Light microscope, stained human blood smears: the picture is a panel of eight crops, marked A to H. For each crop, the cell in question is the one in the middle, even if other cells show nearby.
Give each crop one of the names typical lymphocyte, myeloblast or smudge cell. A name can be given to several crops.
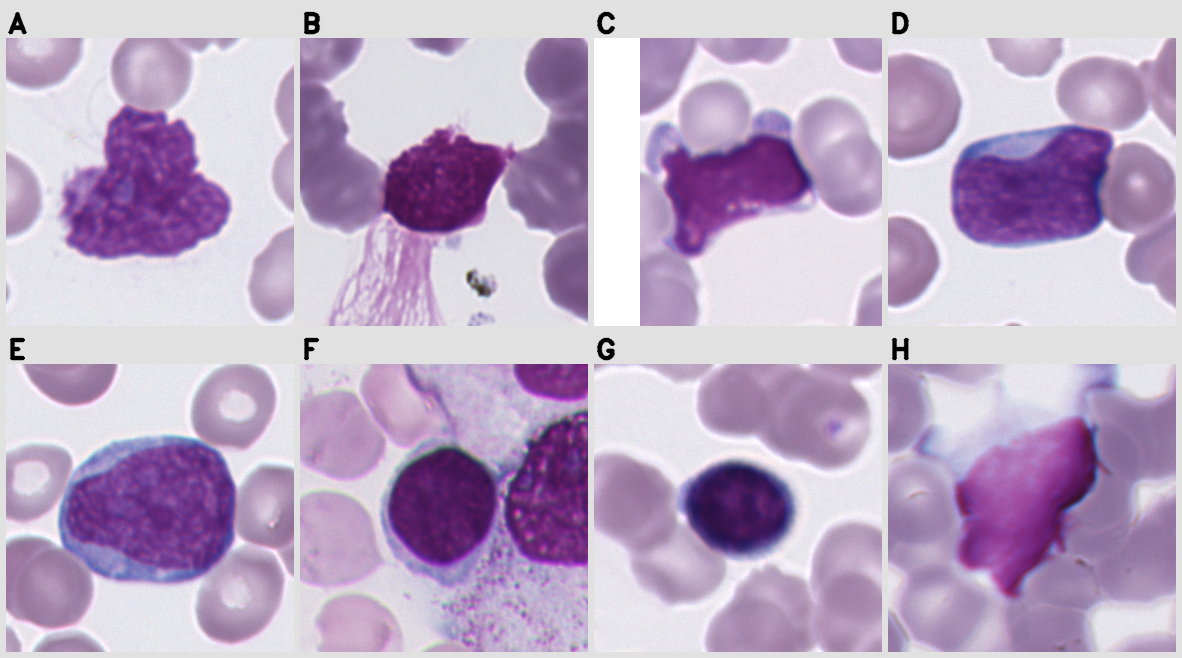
A: smudge cell
B: smudge cell
C: typical lymphocyte
D: myeloblast
E: myeloblast
F: typical lymphocyte
G: typical lymphocyte
H: typical lymphocyte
